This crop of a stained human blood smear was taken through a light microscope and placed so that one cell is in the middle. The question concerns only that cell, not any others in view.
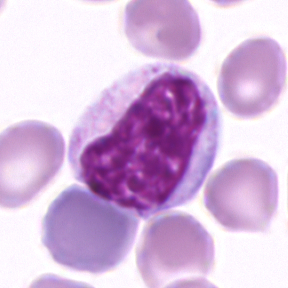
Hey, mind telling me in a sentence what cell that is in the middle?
In the center of this field lies a metamyelocyte.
